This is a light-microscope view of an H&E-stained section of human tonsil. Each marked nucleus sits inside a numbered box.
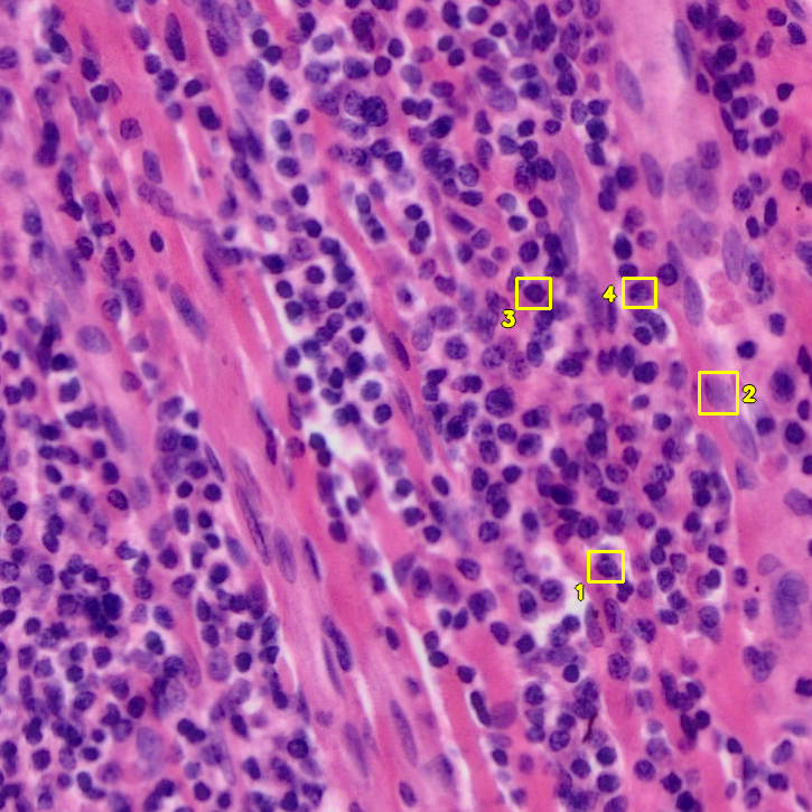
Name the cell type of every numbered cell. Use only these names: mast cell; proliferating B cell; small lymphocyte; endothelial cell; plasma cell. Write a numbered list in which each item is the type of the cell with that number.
1. plasma cell
2. endothelial cell
3. plasma cell
4. plasma cell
